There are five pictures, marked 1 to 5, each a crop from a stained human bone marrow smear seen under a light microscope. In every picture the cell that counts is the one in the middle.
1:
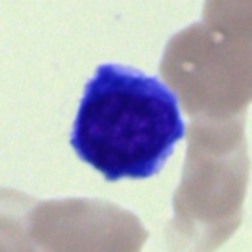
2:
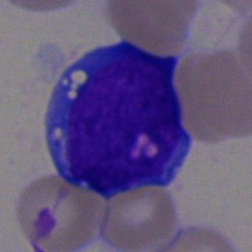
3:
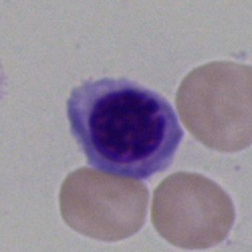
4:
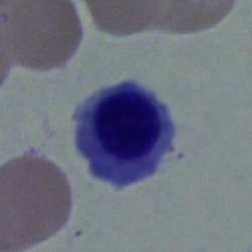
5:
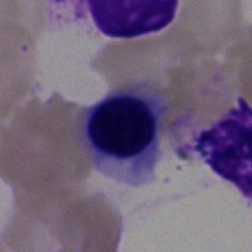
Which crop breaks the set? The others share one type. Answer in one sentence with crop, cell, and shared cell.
Unlike the rest, which all show erythroblasts, crop 2 contains a blast.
